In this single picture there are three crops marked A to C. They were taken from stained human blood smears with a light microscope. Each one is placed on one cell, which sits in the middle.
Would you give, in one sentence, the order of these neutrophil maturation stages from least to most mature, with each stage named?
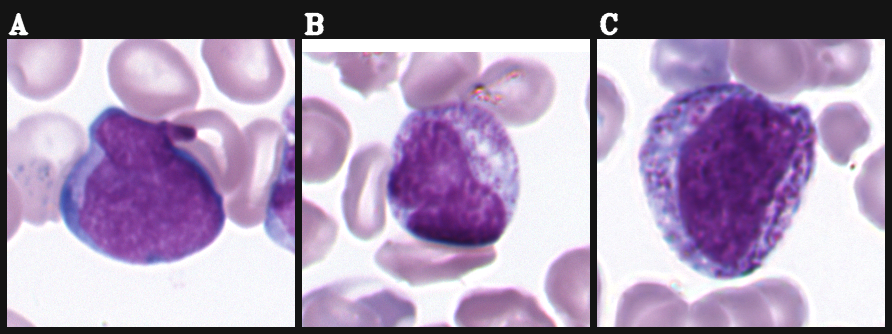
By increasing maturity, the order is crop A (a myeloblast), crop C (a promyelocyte) and crop B (a metamyelocyte).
